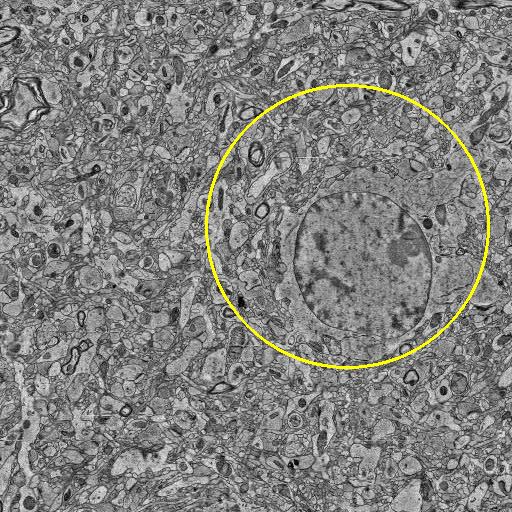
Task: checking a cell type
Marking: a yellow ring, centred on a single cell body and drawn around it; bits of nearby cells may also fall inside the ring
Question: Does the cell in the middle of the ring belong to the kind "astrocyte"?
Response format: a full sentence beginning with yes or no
Yes, the cell marked at the ring's centre in the picture is of that kind.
